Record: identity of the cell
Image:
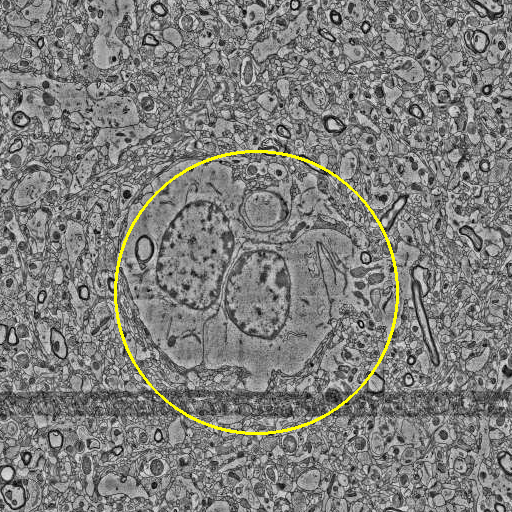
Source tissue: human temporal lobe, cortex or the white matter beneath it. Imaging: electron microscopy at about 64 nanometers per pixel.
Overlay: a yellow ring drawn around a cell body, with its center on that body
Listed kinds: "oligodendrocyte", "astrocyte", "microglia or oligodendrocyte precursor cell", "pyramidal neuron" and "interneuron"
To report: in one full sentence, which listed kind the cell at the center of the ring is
In the image, the cell body at the ring's center belongs to an astrocyte.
